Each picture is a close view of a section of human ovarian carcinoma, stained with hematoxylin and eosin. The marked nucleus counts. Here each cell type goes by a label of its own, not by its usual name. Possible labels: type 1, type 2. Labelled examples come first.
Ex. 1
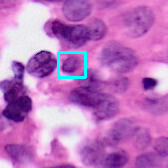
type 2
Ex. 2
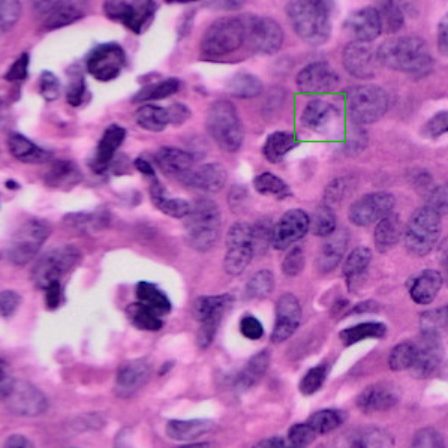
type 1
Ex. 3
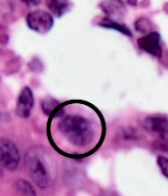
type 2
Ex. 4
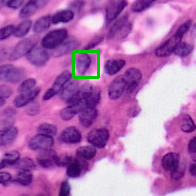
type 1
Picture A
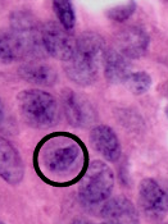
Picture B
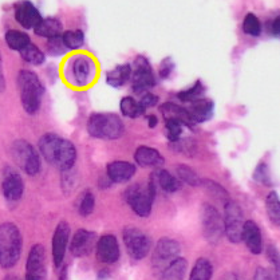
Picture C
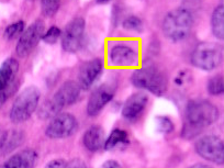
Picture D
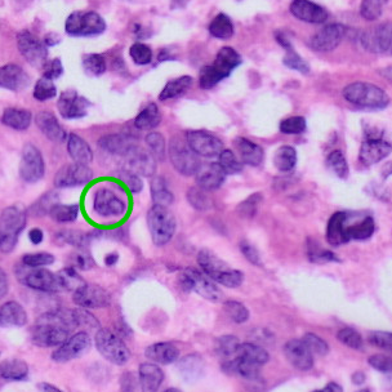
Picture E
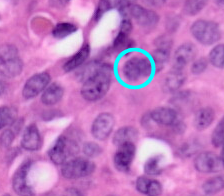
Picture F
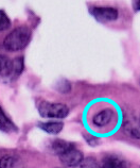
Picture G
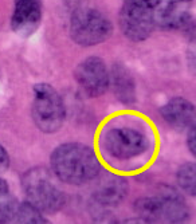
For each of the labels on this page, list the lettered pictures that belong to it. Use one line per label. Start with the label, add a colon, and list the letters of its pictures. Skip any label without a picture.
type 1: A, B, C, D, F, G
type 2: E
